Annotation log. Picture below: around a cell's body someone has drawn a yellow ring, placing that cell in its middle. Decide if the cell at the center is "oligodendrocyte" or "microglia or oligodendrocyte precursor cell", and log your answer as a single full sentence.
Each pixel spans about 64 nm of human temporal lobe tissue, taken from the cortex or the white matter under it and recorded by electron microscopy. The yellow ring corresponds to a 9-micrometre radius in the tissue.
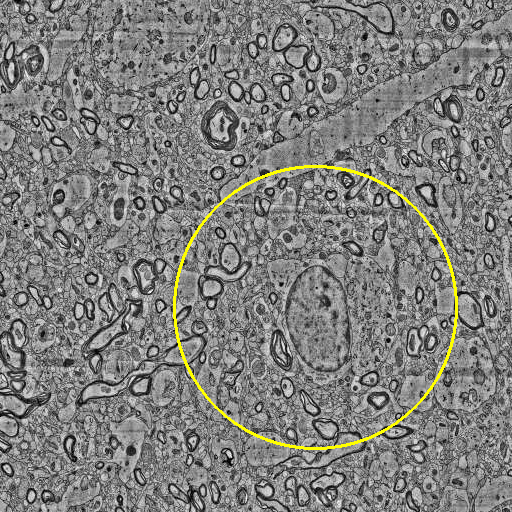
My entry records a microglial cell or oligodendrocyte precursor cell as the cell sitting at the center of the yellow ring.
